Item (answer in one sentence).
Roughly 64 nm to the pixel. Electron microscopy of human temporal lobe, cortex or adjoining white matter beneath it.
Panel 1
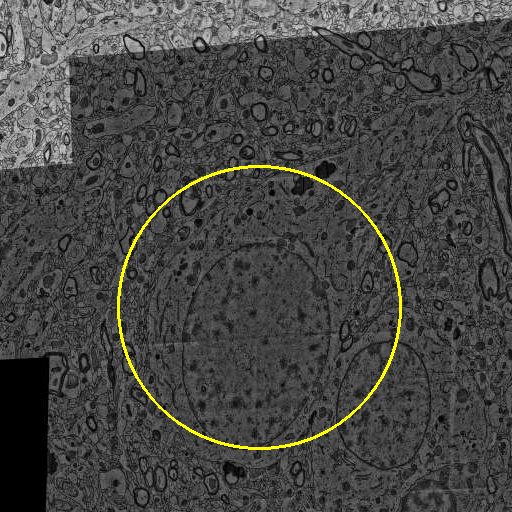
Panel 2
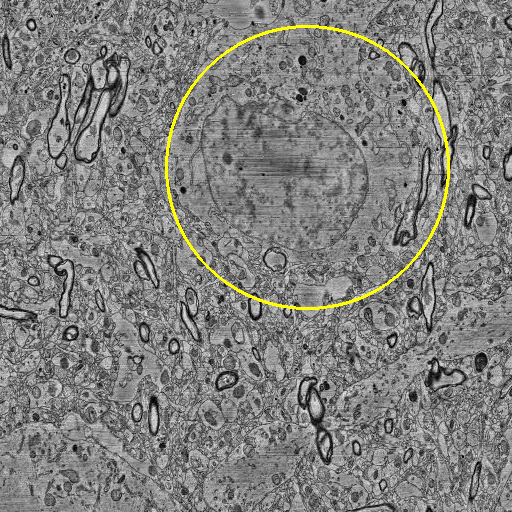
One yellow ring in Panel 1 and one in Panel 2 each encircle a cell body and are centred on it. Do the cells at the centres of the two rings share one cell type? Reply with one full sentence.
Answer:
No, Panel 1 and Panel 2 show cells of two types at the centres of their rings.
